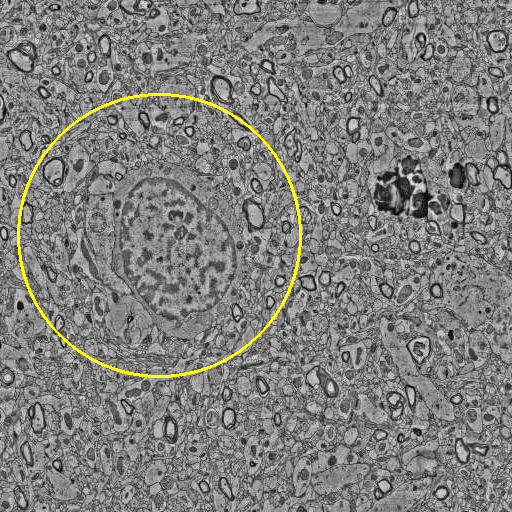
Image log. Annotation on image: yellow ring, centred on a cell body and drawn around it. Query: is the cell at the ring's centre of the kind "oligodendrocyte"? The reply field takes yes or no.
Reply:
yes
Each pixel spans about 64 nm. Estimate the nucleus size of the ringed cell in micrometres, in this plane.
The nucleus of the ringed cell is approximately 9 by 7 micrometres in this plane.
